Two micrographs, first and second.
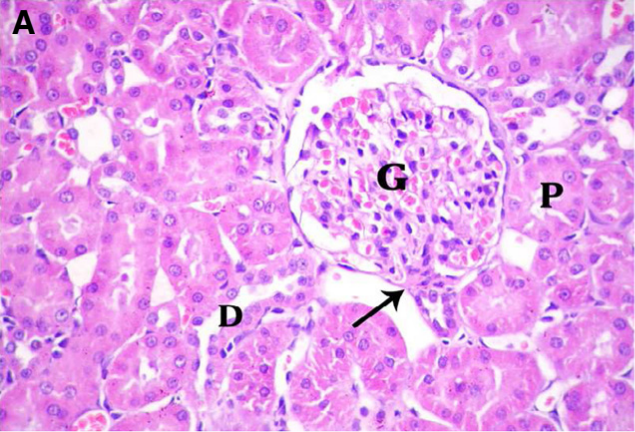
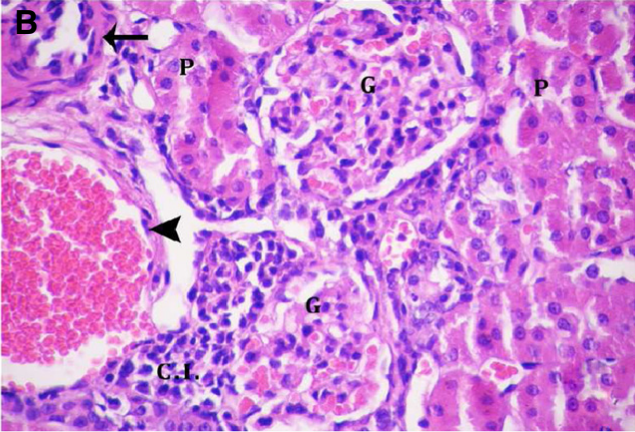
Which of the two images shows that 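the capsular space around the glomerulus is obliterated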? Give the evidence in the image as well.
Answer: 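Second image: the glomerular tufts are crowded with nuclei and fill the capsule with little clear space. First image: a clear white space separates the tuft from the capsule. So: the second image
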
